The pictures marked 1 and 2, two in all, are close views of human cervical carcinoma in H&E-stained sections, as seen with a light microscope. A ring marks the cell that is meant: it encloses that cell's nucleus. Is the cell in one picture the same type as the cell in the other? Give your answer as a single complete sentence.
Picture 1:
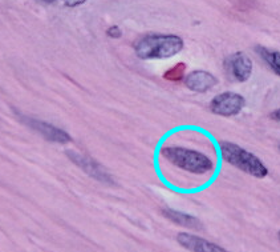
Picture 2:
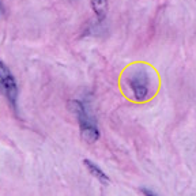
No. Picture 1 shows a fibroblast, but picture 2 shows a smooth muscle cell.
